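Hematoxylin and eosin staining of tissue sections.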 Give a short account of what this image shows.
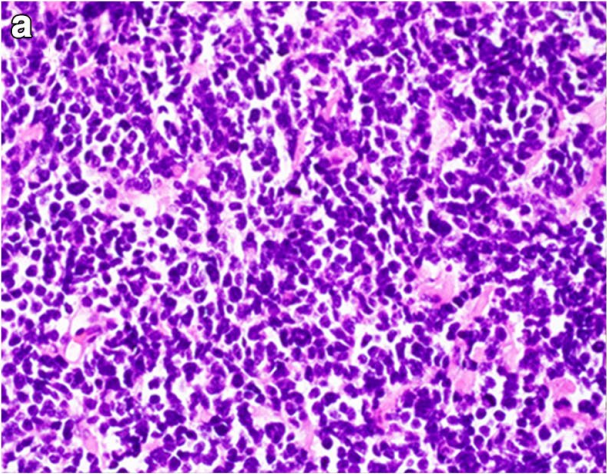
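This is a cancer tissue made of diffuse sheets of small, densely crowded tumour cells. The nuclei are round to oval, deeply stained purple, and take up most of each cell. Very little cytoplasm is visible around them, so the cells appear to lie nucleus against nucleus. Thin, delicate pink strands of stroma with small vessels run between groups of cells. No normal tissue structures such as glands or layers can be made out.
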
